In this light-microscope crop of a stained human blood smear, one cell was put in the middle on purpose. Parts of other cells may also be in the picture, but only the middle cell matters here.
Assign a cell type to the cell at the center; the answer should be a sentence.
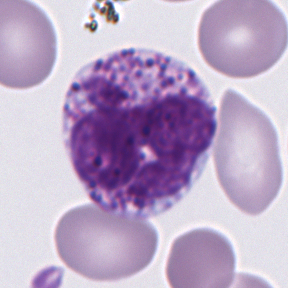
The cell marked by its central position in the crop is a basophil.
